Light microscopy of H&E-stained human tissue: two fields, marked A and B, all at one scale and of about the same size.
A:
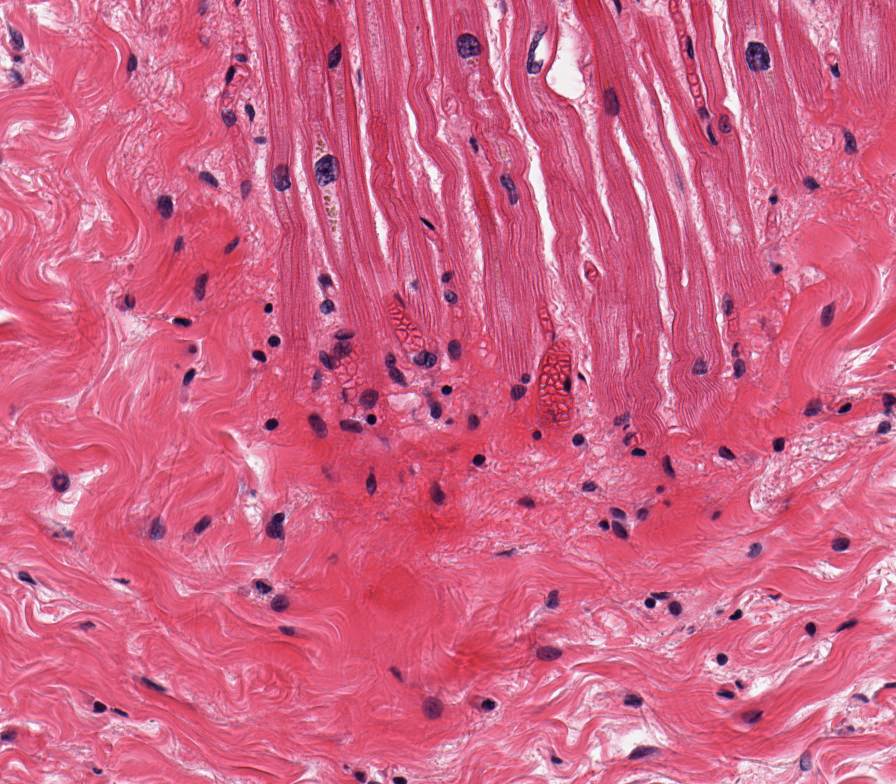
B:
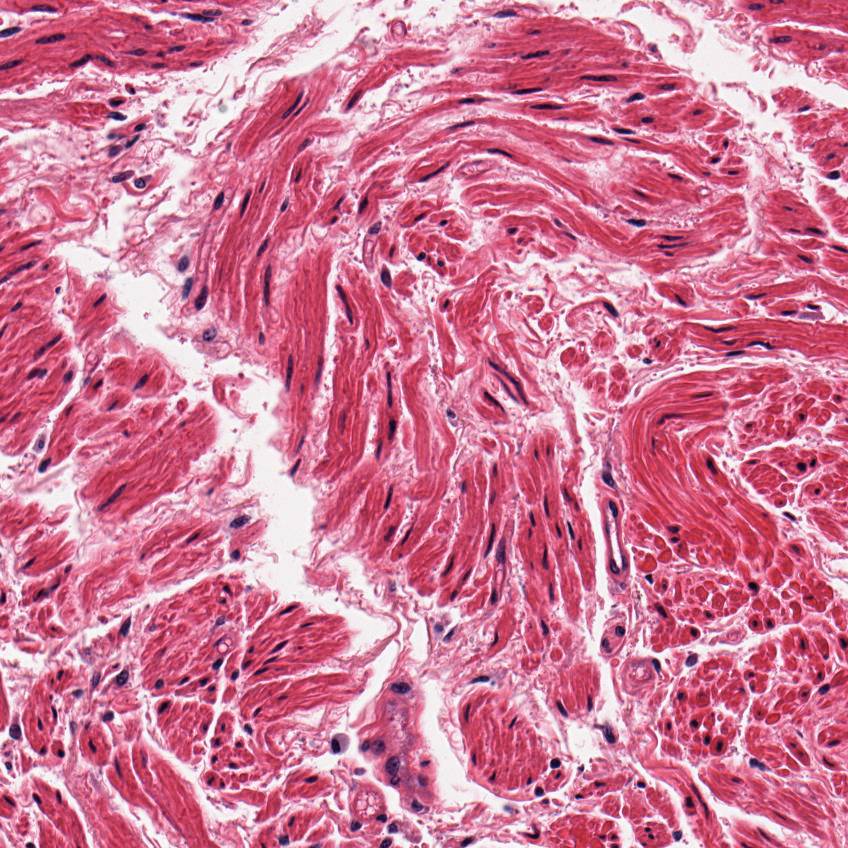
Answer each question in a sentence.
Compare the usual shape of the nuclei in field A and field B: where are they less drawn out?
On the whole the nuclei of field A are rounder than those of field B.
